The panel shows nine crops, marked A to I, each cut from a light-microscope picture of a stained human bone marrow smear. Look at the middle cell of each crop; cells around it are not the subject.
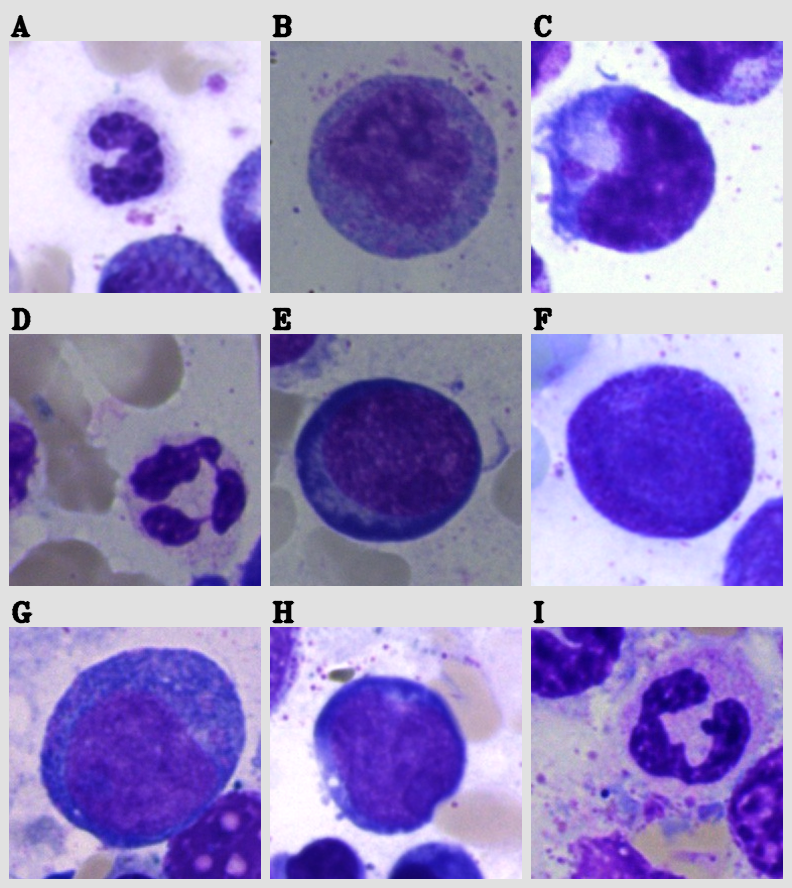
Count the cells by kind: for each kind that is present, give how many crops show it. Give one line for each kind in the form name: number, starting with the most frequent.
promyelocyte: 4
neutrophil: 3
proerythroblast: 2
